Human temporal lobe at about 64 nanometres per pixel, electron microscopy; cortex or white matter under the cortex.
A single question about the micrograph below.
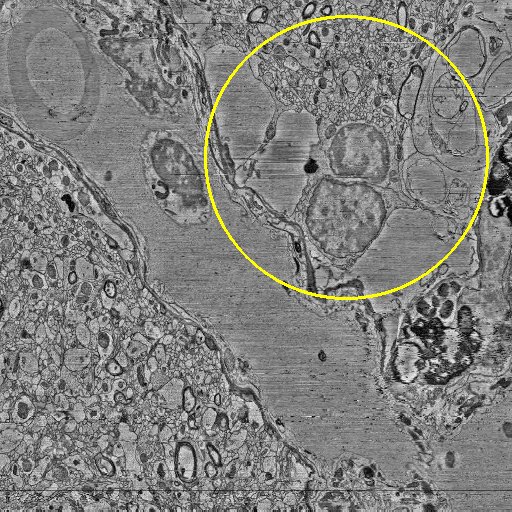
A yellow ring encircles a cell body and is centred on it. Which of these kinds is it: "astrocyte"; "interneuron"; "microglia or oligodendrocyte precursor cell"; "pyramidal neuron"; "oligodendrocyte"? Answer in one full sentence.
The cell body at the centre of the yellow ring belongs to an oligodendrocyte.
